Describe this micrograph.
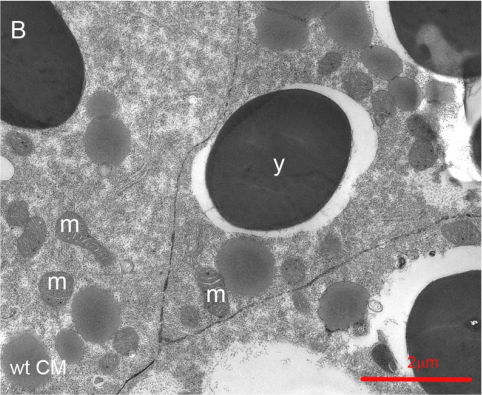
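This is a close view of a few neighbouring embryonic cells whose cytoplasm is packed with organelles. Large, very dark, oval yolk platelets sit among smaller grey rounded bodies, and several mitochondria with visible cristae lie scattered in the finely granular cytoplasm. Pale clefts surround some of the yolk platelets.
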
